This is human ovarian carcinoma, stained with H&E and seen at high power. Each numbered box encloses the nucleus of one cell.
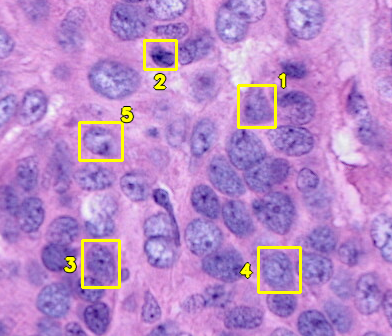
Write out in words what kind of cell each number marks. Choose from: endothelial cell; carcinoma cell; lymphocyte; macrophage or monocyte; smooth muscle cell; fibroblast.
Cells 1, 3 and 4 are carcinoma cells. Cell 2 is a lymphocyte. Cell 5 is a fibroblast.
